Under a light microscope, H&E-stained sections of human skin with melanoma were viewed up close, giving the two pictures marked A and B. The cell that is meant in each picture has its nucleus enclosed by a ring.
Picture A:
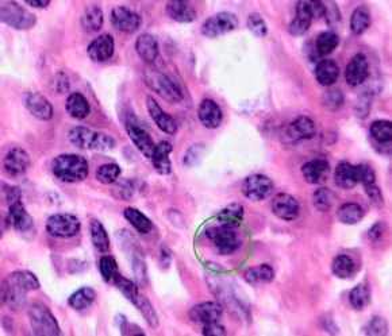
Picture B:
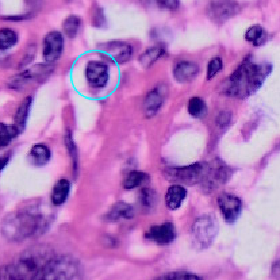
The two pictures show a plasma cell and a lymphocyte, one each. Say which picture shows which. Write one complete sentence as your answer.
In picture A the cell is a plasma cell; in picture B, a lymphocyte.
